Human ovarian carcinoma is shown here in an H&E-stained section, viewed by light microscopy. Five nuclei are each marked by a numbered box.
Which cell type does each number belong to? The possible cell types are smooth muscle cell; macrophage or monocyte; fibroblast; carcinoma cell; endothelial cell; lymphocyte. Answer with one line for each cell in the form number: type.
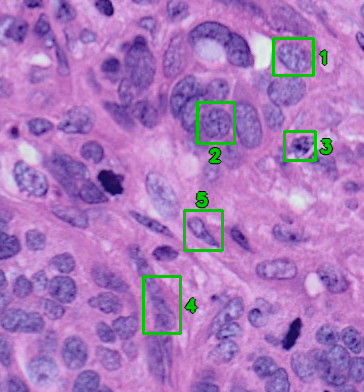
1: carcinoma cell
2: carcinoma cell
3: lymphocyte
4: fibroblast
5: fibroblast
